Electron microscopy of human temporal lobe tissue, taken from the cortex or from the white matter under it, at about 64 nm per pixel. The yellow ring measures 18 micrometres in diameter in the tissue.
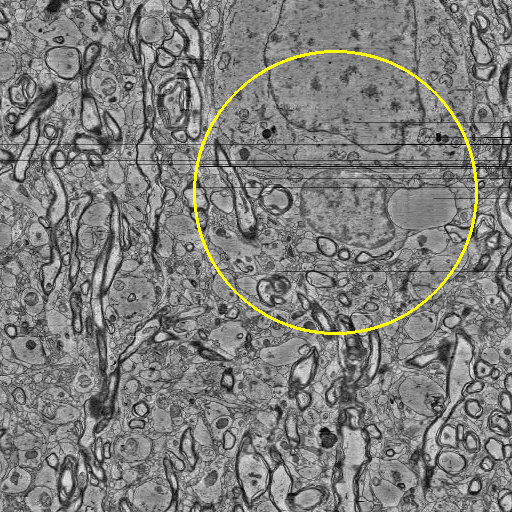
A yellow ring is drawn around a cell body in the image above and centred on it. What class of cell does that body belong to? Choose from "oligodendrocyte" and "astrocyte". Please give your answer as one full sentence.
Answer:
The yellow ring above is centred on the cell body of an oligodendrocyte.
